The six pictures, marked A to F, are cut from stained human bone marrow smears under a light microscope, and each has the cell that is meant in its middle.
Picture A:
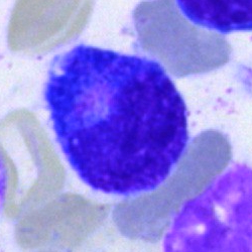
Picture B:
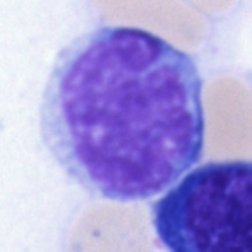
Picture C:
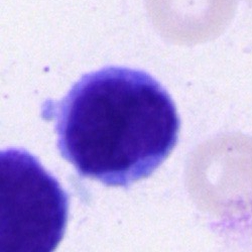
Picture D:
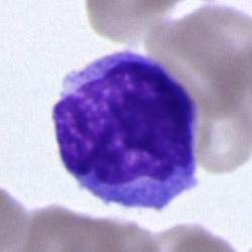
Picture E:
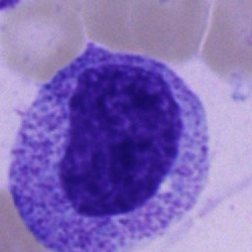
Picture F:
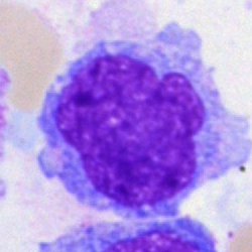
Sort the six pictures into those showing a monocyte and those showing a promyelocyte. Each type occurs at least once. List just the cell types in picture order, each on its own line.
promyelocyte
monocyte
monocyte
monocyte
promyelocyte
monocyte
